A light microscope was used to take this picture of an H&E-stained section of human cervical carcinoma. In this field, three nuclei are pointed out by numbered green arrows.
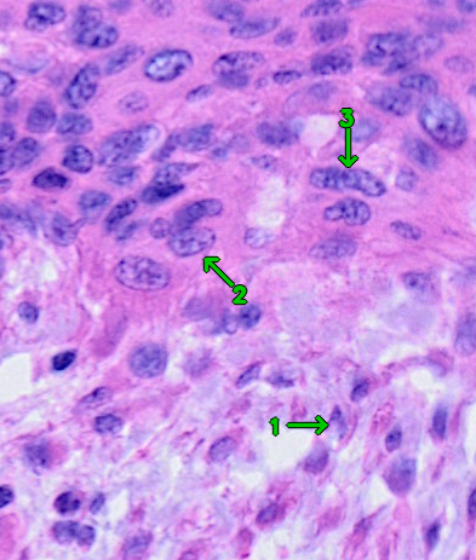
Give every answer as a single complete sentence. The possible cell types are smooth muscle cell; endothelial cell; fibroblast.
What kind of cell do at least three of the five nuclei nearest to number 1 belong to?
Around number 1, most of the five nearest nuclei are those of fibroblasts.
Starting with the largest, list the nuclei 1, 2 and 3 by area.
The nuclei rank 3, 2, 1, from largest to smallest.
